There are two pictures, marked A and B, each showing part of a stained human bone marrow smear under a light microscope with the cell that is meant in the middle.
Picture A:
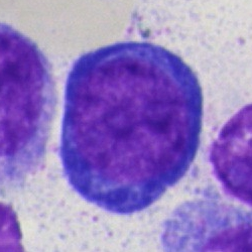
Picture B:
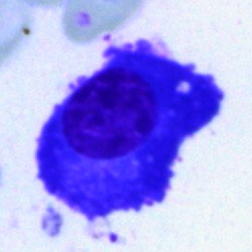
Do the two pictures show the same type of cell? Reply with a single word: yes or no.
no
